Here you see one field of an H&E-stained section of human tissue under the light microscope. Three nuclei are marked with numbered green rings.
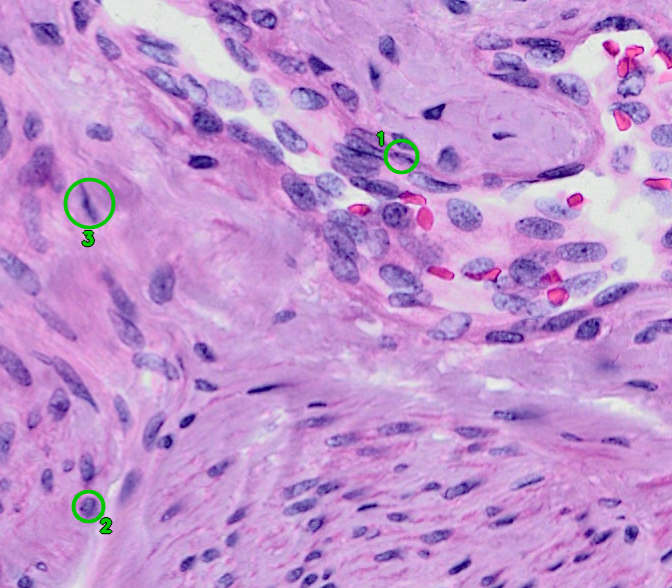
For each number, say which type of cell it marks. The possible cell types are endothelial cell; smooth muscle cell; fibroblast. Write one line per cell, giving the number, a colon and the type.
1: endothelial cell
2: smooth muscle cell
3: fibroblast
